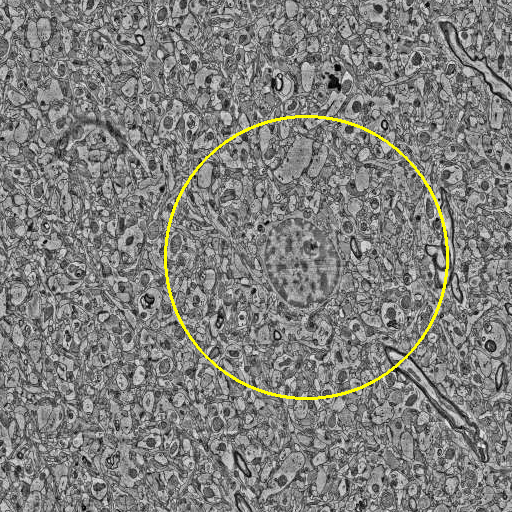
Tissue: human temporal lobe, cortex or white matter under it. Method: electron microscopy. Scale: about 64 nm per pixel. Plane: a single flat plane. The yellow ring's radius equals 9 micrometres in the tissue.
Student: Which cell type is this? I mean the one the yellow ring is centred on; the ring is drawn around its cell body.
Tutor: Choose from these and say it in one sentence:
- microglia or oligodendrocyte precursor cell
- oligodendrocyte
The cell the ring is centred on is an oligodendrocyte.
